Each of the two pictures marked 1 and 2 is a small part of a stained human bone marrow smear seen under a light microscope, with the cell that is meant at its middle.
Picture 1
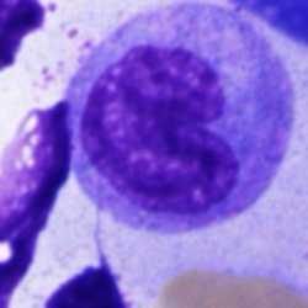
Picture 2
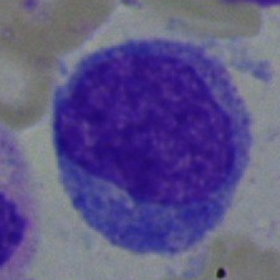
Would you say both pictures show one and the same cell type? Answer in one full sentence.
Yes, both are monocytes.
